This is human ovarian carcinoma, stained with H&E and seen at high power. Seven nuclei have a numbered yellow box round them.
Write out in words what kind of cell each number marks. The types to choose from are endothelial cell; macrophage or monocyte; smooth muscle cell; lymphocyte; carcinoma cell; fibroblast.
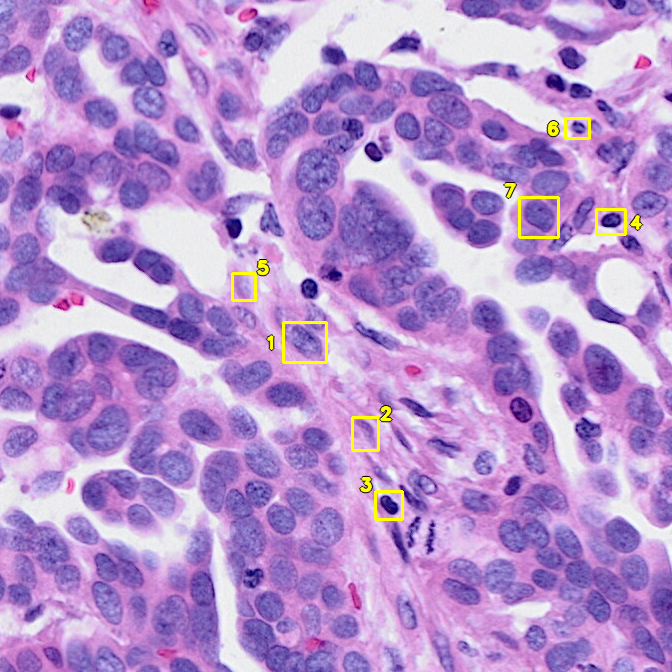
Cell 1 is a fibroblast, cell 2 is a fibroblast, cell 3 is a lymphocyte, cell 4 is a lymphocyte, cell 5 is a fibroblast, cell 6 is a lymphocyte and cell 7 is a carcinoma cell.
